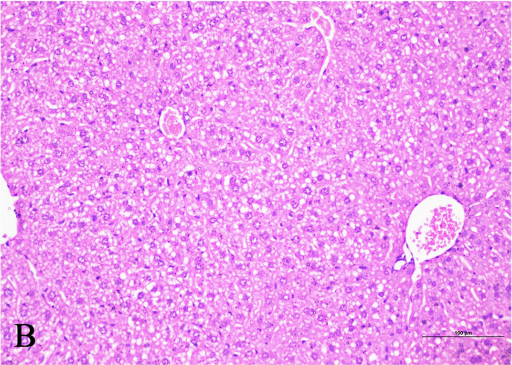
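This is liver tissue with hepatocytes arranged in cords around vessels, one of which holds red blood cells. The hepatocyte cytoplasm is pink but riddled with many small clear round vacuoles, giving a bubbly appearance. The round nuclei are purple and centrally placed.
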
